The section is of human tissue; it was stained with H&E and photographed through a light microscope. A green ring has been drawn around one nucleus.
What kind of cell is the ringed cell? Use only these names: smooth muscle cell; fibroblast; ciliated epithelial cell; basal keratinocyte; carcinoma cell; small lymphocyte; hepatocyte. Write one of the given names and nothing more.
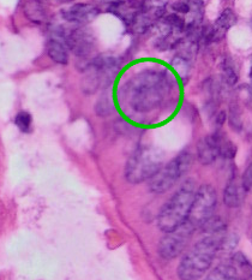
ciliated epithelial cell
